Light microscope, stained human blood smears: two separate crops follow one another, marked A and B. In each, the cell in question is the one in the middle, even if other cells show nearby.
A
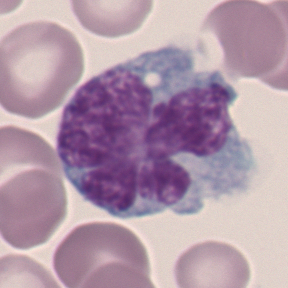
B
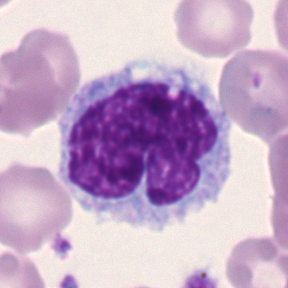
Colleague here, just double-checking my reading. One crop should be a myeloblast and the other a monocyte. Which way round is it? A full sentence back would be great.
Crop A and crop B are a myeloblast and a monocyte, in that order.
